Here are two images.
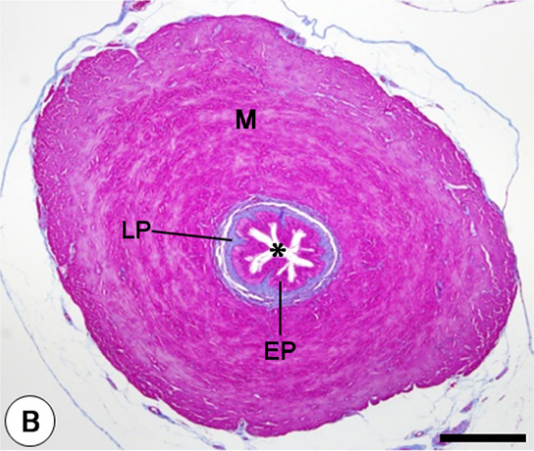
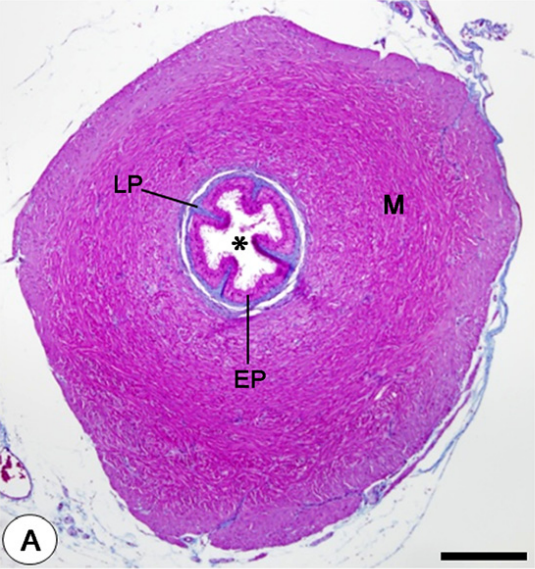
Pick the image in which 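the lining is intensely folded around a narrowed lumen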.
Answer: the first image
